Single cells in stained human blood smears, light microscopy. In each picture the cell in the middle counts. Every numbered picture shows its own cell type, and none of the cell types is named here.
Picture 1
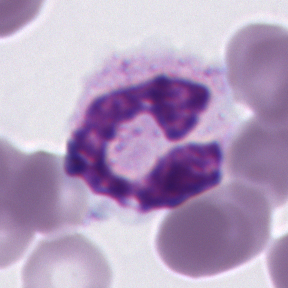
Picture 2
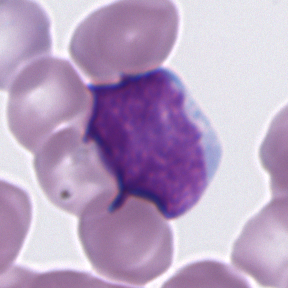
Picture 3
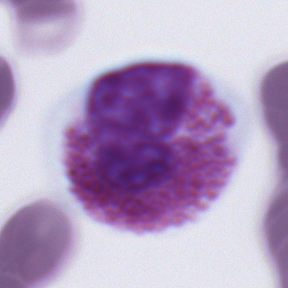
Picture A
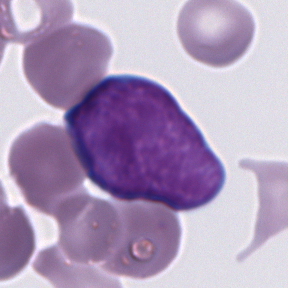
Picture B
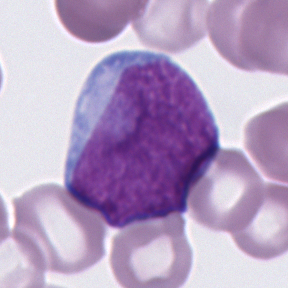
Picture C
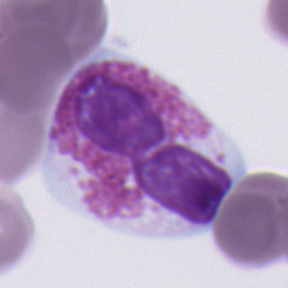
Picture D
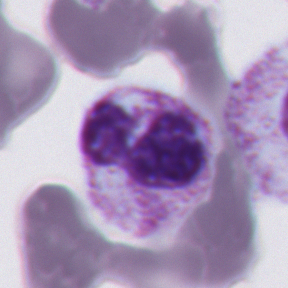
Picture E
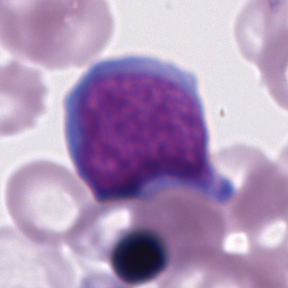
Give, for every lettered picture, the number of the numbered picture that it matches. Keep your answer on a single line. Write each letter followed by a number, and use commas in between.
A 2, B 2, C 3, D 1, E 2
